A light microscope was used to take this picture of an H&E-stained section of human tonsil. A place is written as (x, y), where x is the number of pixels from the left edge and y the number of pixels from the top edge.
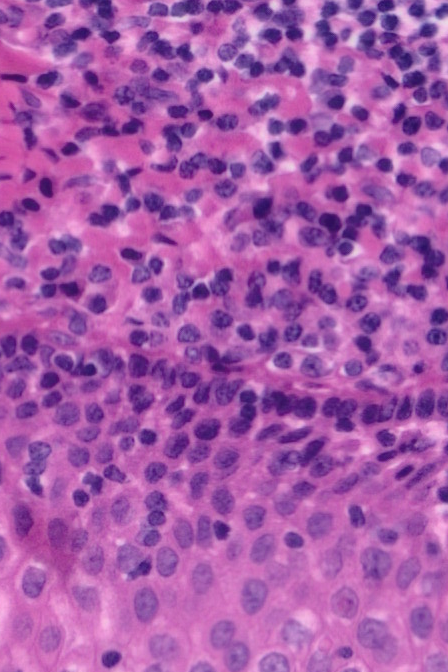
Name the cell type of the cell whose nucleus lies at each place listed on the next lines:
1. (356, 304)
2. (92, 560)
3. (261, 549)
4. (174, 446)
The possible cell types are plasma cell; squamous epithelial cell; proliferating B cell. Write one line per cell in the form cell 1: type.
cell 1: plasma cell
cell 2: squamous epithelial cell
cell 3: squamous epithelial cell
cell 4: squamous epithelial cell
